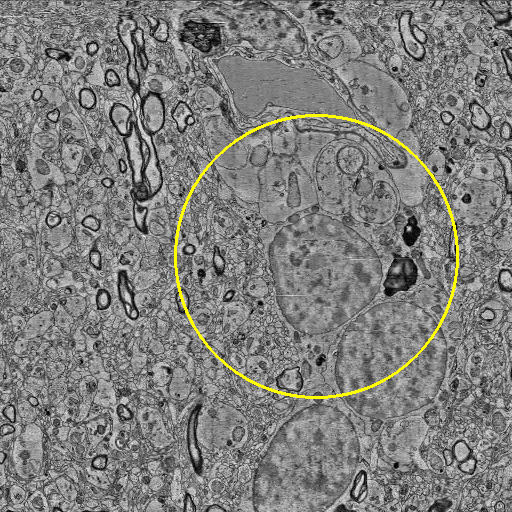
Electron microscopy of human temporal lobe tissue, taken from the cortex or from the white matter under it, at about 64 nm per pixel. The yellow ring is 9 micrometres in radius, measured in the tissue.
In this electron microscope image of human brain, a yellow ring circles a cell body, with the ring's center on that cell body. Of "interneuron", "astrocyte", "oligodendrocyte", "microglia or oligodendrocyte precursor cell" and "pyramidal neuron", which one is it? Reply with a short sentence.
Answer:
It is an oligodendrocyte at the center of the ring.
